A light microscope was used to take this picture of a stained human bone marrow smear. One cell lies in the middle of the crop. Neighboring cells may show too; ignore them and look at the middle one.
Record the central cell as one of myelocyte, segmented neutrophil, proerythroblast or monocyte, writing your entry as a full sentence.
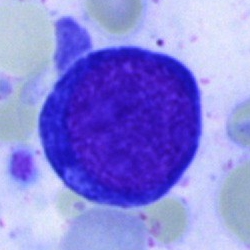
In this crop, the cell at the very middle is a proerythroblast.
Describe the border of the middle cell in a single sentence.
Its outline is smooth, with no projections anywhere along the edge.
